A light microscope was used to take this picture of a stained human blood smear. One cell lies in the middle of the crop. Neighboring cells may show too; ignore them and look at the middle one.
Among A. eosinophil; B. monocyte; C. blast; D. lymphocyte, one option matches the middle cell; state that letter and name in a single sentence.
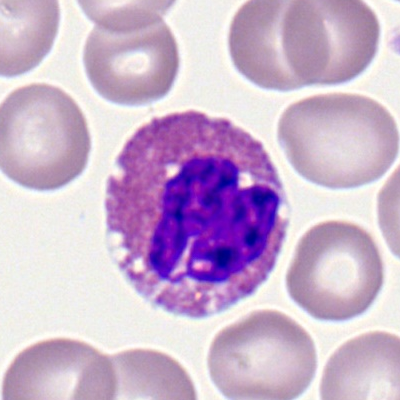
According to option A, which is correct, the cell in the middle is an eosinophil.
